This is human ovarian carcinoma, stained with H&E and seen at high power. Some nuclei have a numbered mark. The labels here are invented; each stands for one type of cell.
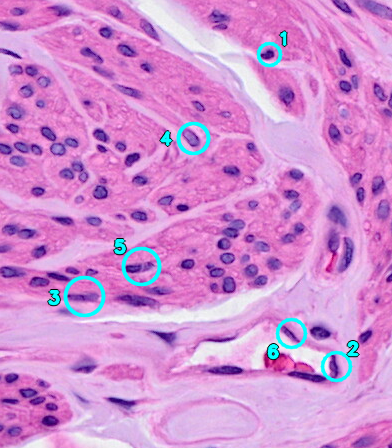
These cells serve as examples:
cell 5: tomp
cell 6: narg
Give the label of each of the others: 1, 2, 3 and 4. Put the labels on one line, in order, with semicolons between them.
tomp; narg; tomp; tomp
